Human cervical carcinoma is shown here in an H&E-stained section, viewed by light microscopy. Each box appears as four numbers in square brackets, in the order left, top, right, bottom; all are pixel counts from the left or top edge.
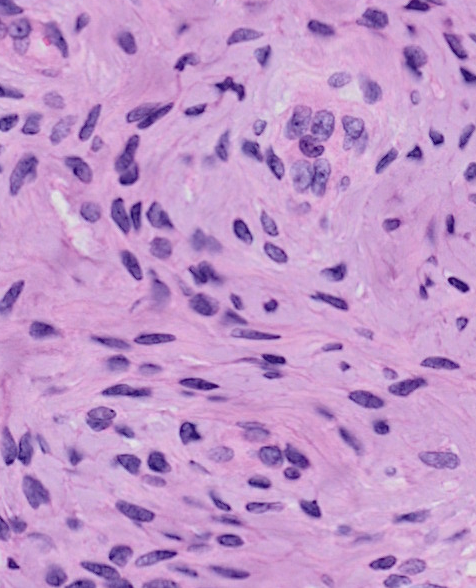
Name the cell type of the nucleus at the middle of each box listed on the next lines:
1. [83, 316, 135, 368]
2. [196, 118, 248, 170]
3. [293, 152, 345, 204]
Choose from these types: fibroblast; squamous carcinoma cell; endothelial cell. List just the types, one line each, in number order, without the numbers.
fibroblast
fibroblast
endothelial cell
